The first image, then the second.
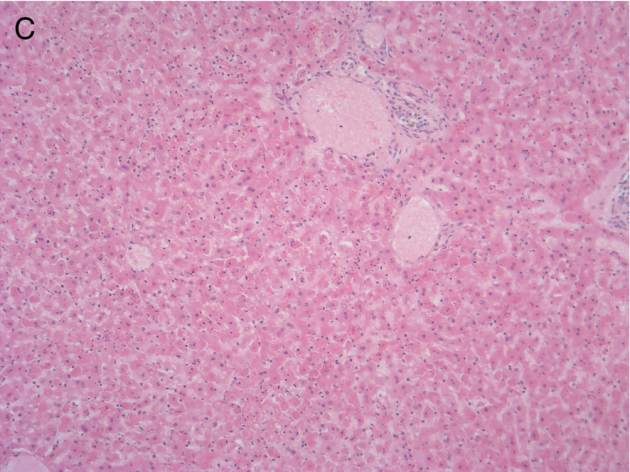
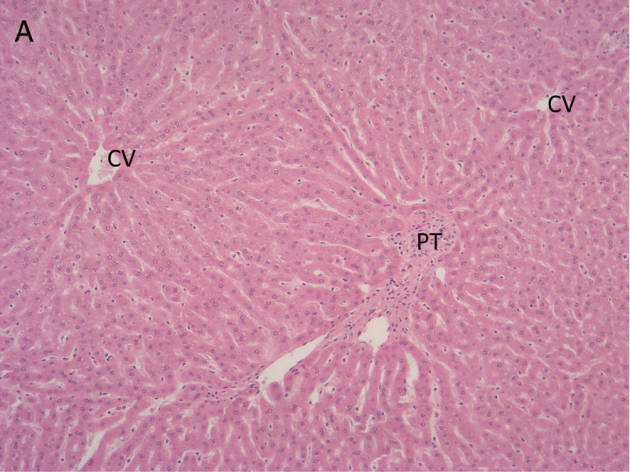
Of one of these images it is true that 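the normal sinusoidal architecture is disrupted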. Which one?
the first image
